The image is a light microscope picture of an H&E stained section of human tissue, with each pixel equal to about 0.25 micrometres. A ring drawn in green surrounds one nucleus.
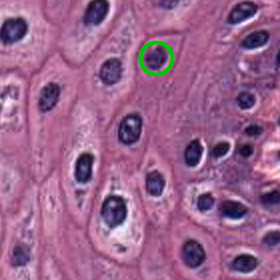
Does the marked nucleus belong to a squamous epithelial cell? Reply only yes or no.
yes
